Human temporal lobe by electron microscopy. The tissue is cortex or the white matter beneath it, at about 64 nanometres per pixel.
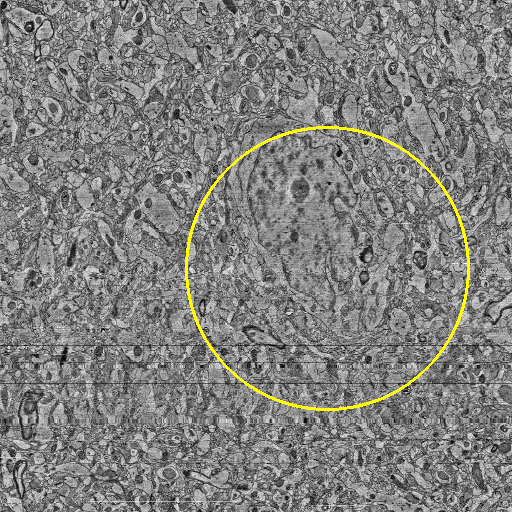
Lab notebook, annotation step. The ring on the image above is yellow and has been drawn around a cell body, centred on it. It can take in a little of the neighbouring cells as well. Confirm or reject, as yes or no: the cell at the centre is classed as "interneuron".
Yes, confirmed for that class.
